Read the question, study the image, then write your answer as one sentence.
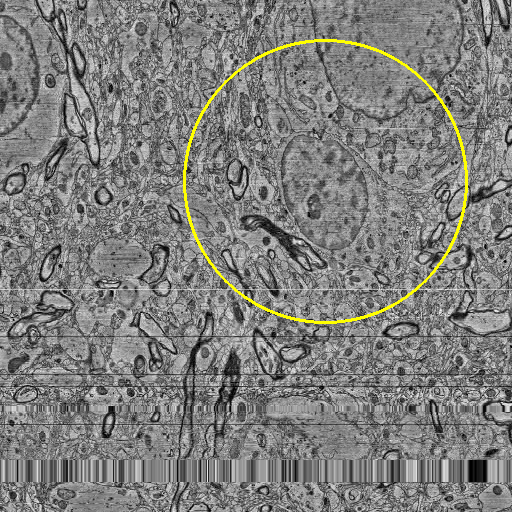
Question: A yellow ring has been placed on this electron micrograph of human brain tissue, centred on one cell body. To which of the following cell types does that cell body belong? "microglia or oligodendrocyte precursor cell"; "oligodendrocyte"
That cell body belongs to an oligodendrocyte.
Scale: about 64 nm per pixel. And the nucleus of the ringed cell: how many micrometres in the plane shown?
In this plane the nucleus spans approximately 8 by 5 micrometers.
